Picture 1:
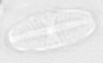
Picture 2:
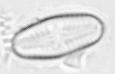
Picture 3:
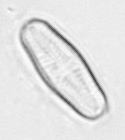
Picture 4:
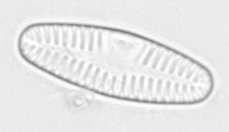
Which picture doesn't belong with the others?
Picture 4.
